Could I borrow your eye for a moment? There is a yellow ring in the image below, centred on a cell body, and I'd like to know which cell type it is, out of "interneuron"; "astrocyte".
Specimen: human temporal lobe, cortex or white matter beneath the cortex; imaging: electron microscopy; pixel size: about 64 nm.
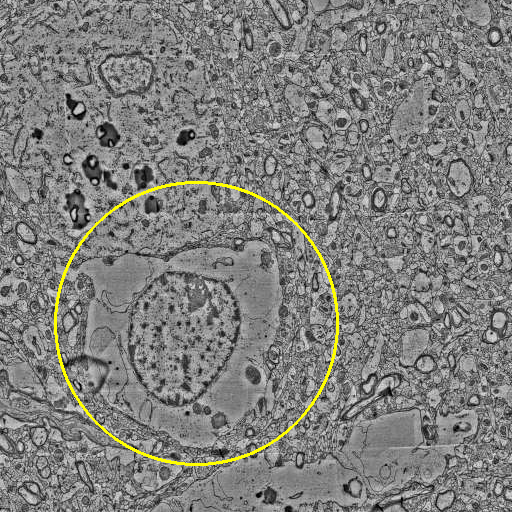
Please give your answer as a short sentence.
The cell body at the centre is that of an astrocyte.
